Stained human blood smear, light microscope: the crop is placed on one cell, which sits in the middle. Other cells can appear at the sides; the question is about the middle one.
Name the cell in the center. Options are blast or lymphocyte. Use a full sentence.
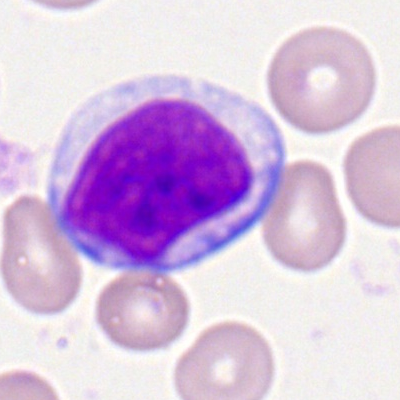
Positioned in the middle of the crop is a blast.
